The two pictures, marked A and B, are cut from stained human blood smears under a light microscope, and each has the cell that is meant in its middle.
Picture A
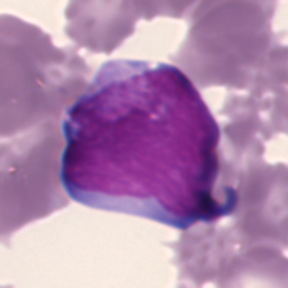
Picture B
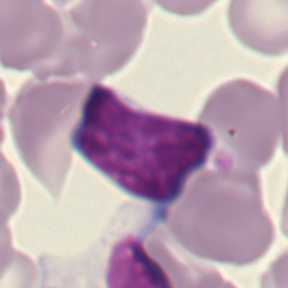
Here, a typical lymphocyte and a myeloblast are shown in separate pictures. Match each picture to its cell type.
A: myeloblast
B: typical lymphocyte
